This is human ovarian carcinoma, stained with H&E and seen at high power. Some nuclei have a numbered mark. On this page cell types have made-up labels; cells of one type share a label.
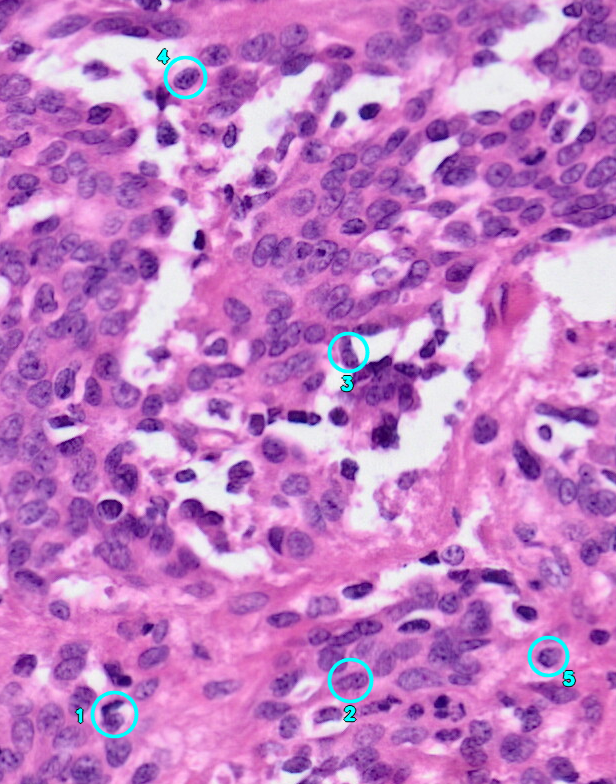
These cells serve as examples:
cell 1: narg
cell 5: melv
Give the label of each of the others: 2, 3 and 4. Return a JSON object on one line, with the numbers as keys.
{"2": "narg", "3": "narg", "4": "melv"}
